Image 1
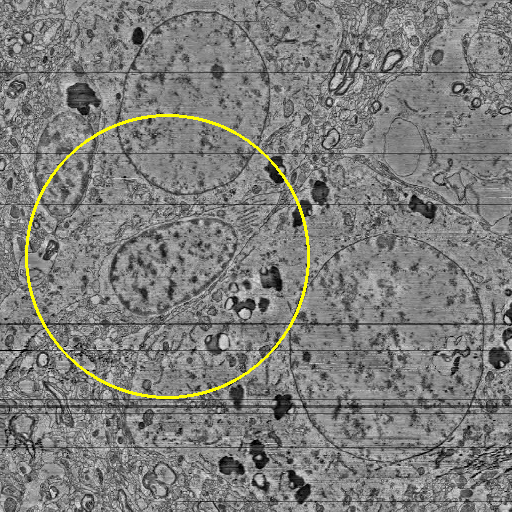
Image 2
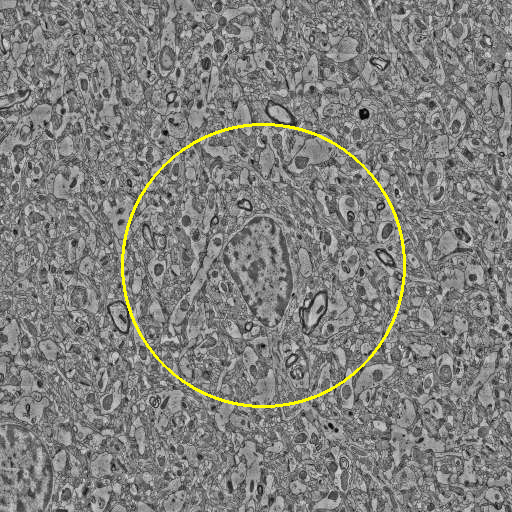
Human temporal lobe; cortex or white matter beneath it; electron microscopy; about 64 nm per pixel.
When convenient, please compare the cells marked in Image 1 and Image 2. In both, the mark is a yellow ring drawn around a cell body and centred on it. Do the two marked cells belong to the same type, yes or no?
yes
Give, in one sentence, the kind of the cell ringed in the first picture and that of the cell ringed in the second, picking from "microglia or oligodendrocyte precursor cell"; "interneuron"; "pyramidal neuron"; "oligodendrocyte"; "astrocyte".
Each of the two pictures has a microglial cell or oligodendrocyte precursor cell at the ring centre.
